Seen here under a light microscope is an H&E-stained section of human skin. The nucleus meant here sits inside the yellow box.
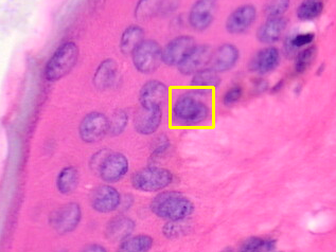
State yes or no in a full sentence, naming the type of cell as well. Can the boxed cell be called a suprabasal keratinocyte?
No, the boxed cell is to be identified as a basal keratinocyte, not a suprabasal keratinocyte.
